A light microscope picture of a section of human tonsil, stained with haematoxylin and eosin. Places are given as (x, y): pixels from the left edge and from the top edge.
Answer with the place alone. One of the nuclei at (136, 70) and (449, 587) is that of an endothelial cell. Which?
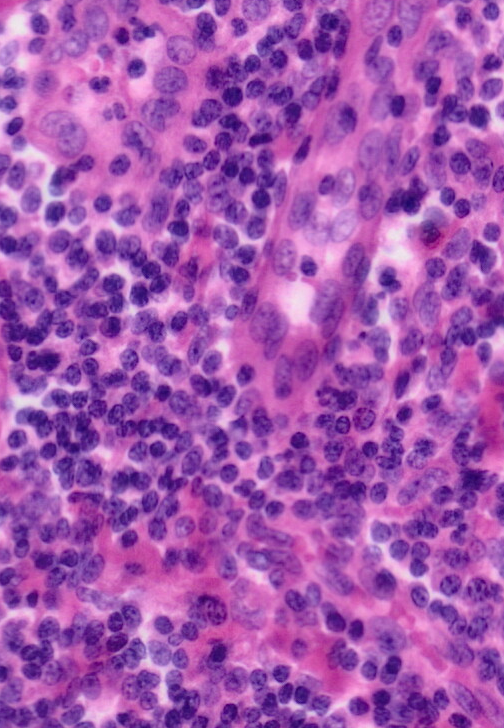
(136, 70)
